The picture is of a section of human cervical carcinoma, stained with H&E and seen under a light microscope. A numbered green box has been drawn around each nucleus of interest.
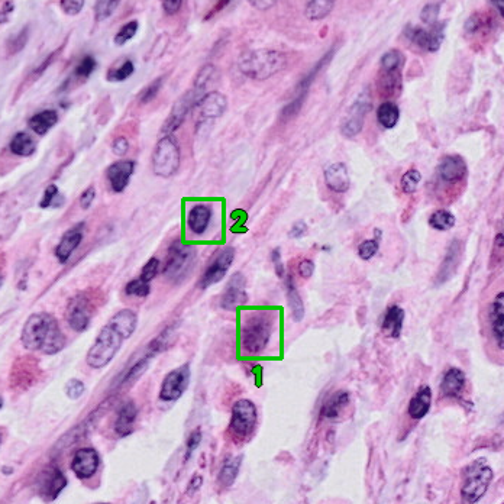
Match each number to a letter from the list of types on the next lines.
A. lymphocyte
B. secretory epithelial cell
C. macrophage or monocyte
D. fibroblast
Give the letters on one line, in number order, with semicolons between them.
C; A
